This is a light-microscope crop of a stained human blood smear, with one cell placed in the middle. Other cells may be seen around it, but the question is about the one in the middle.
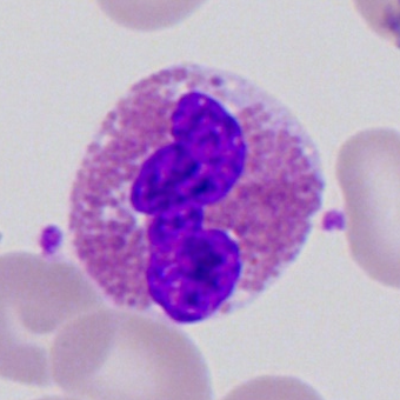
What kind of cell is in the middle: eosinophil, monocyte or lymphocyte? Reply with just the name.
eosinophil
